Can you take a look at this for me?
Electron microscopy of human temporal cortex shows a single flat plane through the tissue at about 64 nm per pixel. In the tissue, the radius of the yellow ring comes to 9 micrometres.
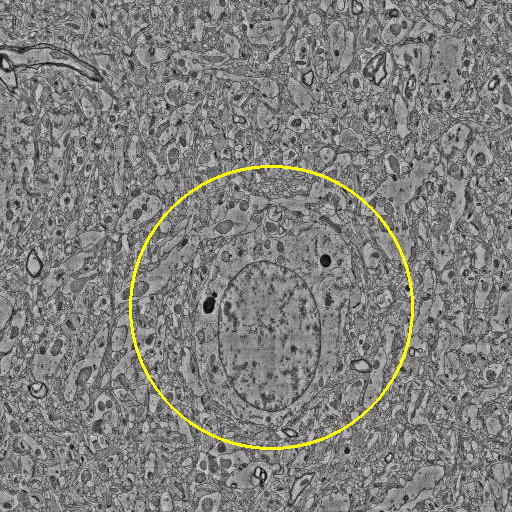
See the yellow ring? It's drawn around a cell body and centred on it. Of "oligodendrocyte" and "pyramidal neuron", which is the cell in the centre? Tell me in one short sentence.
The one in the centre is a pyramidal neuron.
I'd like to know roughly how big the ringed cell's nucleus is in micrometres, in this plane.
The ringed cell's nucleus measures approximately 10 by 7 micrometres in this plane.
